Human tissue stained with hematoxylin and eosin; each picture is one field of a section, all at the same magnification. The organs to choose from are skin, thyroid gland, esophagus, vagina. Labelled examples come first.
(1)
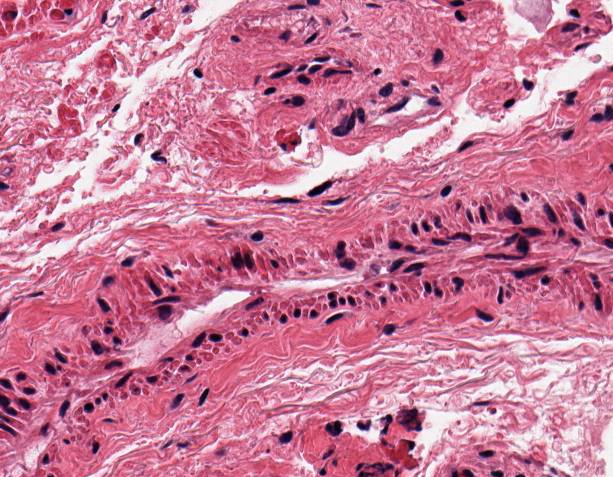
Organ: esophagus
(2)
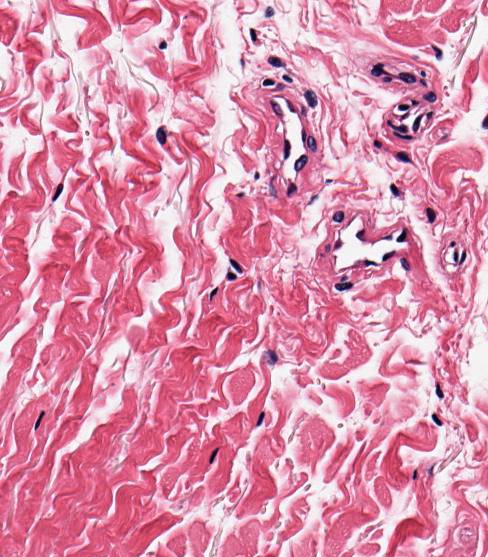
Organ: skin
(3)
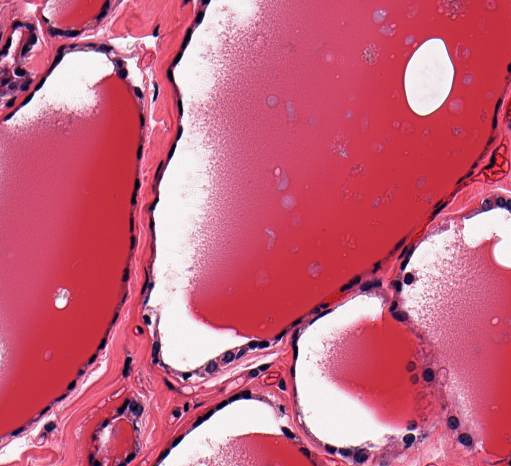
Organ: thyroid gland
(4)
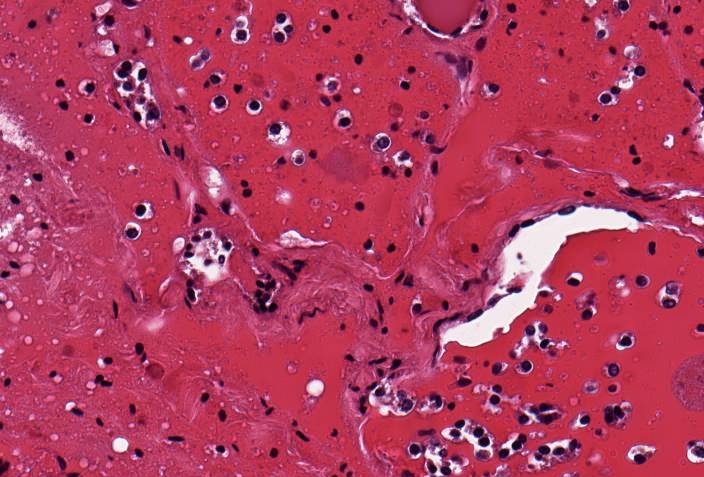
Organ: thyroid gland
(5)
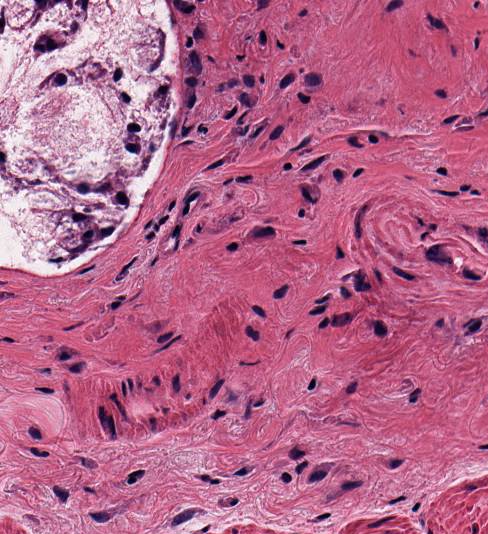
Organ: esophagus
